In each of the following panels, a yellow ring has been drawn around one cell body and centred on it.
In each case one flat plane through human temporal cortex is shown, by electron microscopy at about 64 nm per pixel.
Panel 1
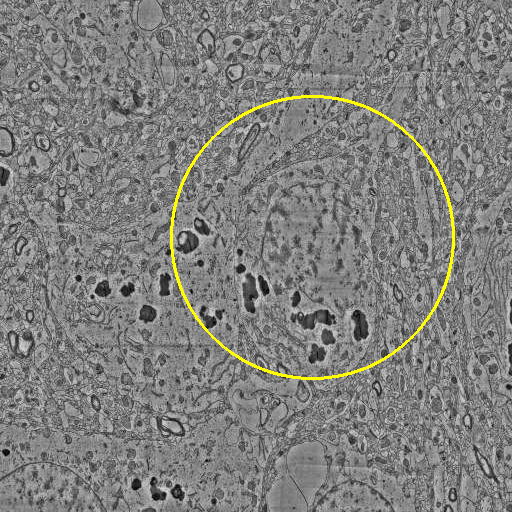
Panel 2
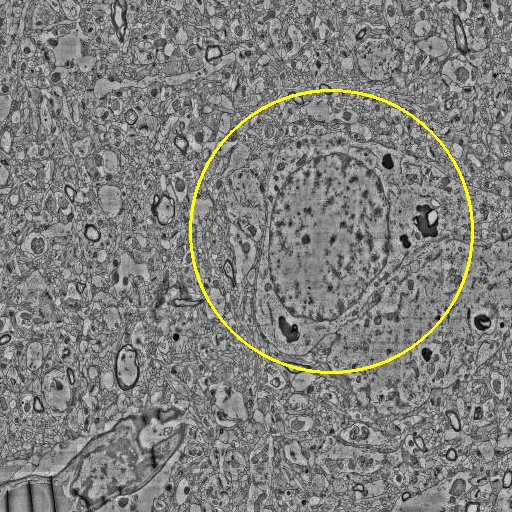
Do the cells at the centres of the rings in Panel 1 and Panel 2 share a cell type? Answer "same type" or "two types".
same type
